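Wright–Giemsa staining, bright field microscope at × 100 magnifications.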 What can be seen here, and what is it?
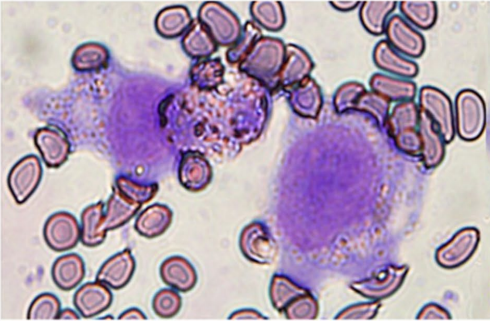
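Macrophages lie among many small oval nucleated erythrocytes. The macrophages are large irregular cells with a round purple nucleus and pale violet, finely vacuolated cytoplasm drawn out into ragged projections, and one holds dark granular ingested material beside the nucleus.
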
